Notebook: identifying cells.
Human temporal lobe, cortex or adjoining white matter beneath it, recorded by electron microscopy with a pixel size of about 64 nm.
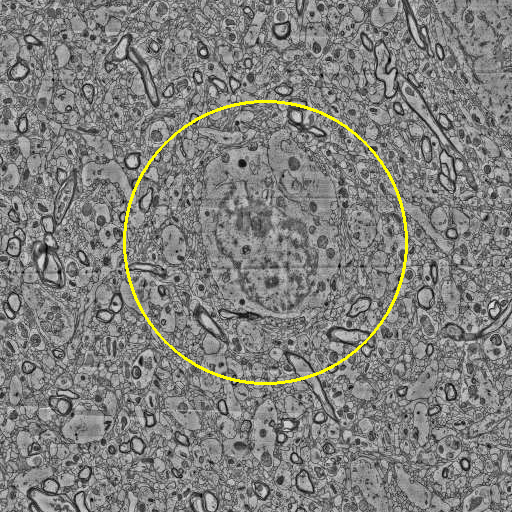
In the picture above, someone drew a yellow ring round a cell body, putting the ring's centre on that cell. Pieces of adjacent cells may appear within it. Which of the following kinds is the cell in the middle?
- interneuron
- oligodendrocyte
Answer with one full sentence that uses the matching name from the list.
In this picture, the yellow ring is centred on the body of an interneuron.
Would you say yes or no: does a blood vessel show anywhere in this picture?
No, there is no blood vessel in the image.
